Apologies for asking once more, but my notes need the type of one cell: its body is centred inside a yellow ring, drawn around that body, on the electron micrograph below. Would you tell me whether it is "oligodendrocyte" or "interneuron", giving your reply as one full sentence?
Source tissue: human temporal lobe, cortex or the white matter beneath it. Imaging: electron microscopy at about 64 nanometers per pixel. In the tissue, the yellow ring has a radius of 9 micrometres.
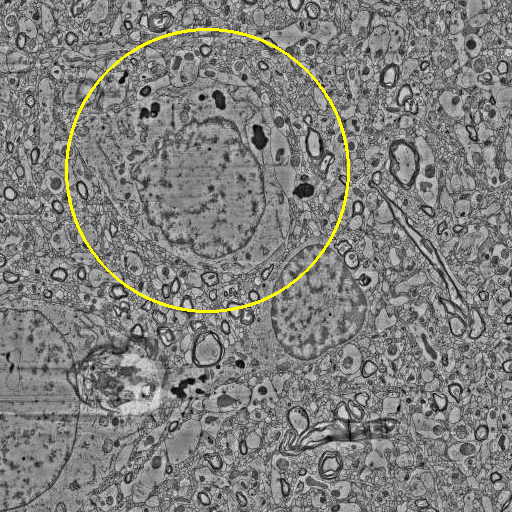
The cell that the yellow ring is centred on is an interneuron in this micrograph.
